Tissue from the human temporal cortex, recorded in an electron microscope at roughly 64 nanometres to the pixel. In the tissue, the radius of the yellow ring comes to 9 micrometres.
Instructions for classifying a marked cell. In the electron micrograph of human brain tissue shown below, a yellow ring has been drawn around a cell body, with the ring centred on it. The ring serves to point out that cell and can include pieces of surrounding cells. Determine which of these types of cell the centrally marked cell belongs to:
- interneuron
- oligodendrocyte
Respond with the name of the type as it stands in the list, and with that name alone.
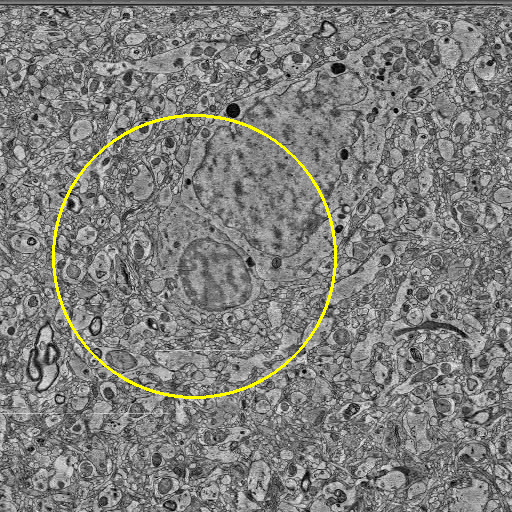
oligodendrocyte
